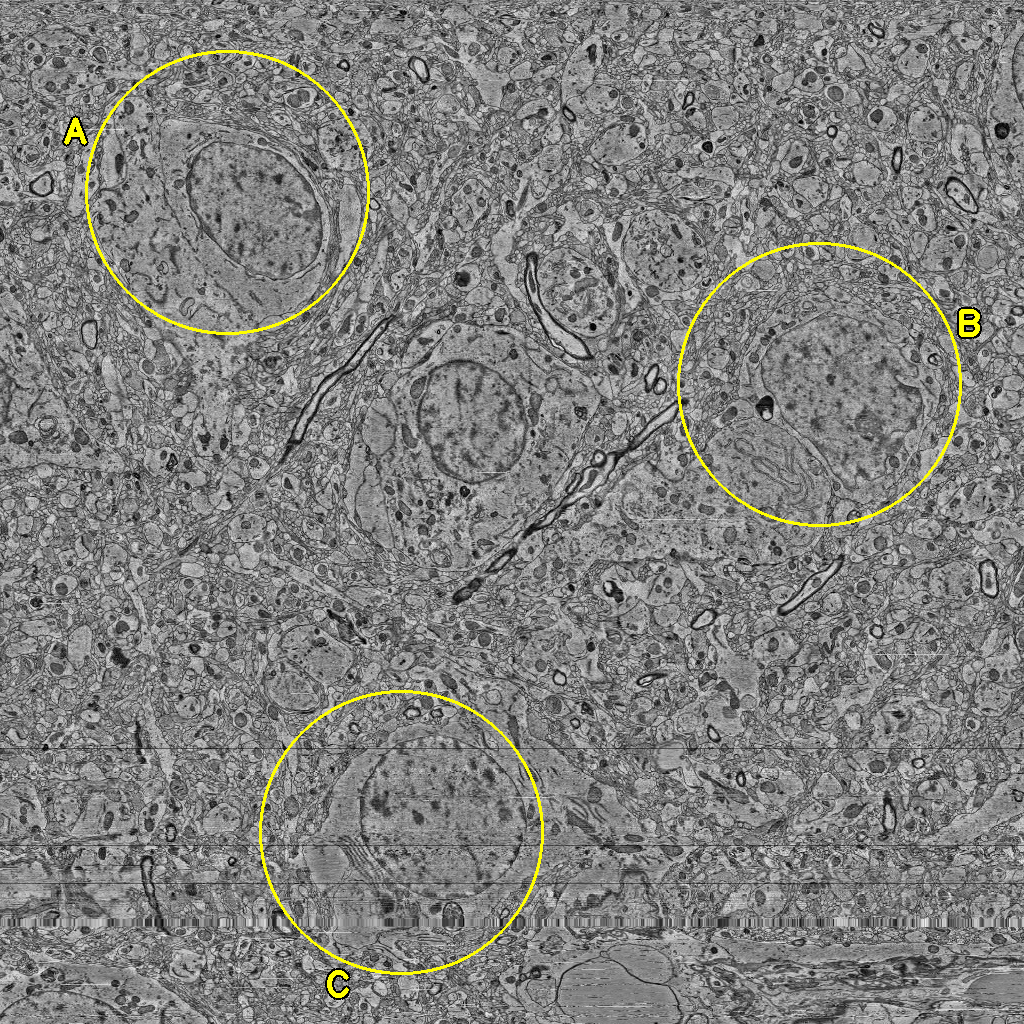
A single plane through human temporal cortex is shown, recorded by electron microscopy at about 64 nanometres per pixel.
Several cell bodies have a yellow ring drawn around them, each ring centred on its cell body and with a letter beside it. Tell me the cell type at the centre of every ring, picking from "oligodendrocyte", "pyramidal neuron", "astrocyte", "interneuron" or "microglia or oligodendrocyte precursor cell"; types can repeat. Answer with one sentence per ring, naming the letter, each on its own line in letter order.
In ring A, the central cell is a microglial cell or oligodendrocyte precursor cell.
In ring B, the central cell is an interneuron.
In ring C, the central cell is an astrocyte.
